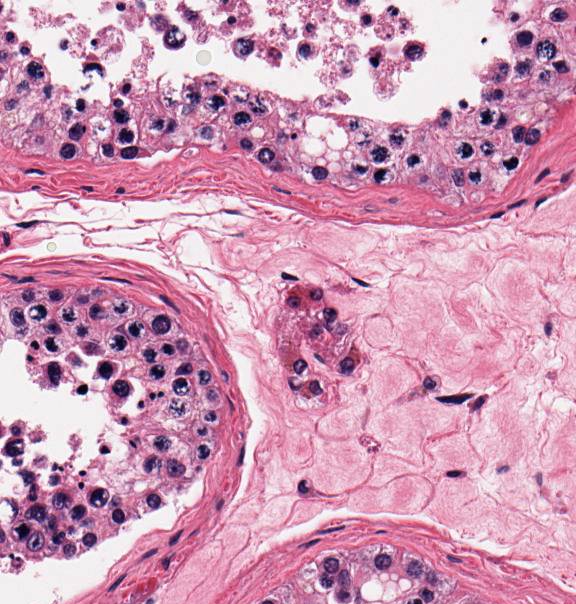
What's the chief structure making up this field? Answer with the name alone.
seminiferous tubule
